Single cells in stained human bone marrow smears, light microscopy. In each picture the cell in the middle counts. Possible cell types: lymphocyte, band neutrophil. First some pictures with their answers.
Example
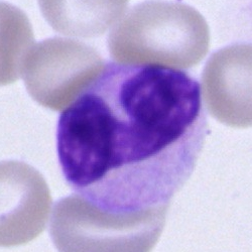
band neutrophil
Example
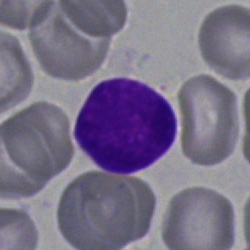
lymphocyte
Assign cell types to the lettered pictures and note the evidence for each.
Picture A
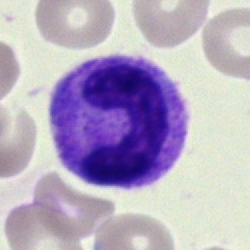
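Answer: band neutrophil. The nucleus is a curved band shaped like a horseshoe.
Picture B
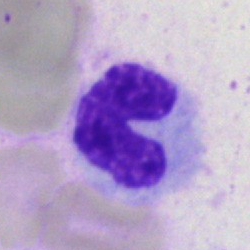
Answer: band neutrophil. The nucleus is curved like a horseshoe, with a deep notch that opens toward the right.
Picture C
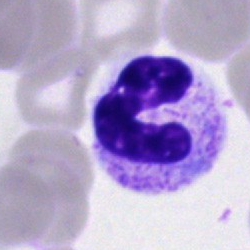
Answer: band neutrophil. The nucleus is a single curved band bent into a C shape that opens toward the right.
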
